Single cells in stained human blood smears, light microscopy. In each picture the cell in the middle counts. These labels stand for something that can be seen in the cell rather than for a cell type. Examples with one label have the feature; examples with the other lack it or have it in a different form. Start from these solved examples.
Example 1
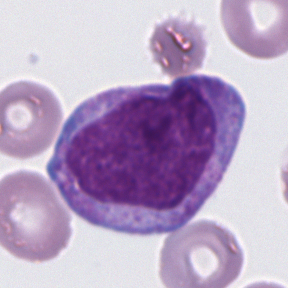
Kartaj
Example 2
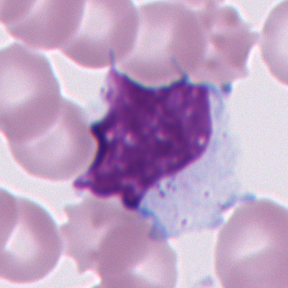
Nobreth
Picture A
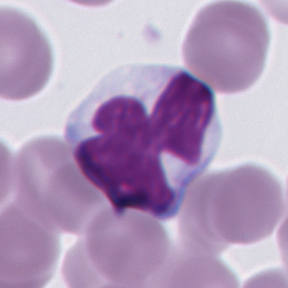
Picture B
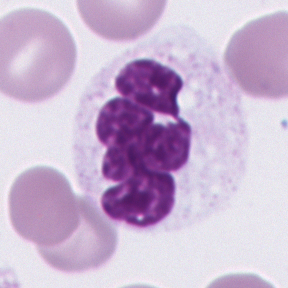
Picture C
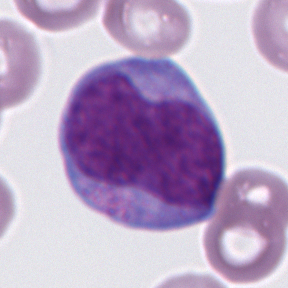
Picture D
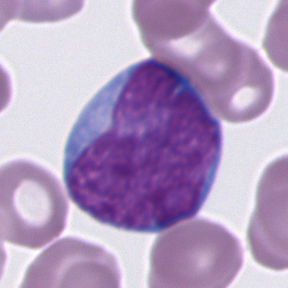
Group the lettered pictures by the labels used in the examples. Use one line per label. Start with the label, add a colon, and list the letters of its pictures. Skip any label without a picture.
Kartaj: A, B, C, D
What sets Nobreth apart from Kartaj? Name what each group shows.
Nobreth: ragged outline or projections; Kartaj: smooth outline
